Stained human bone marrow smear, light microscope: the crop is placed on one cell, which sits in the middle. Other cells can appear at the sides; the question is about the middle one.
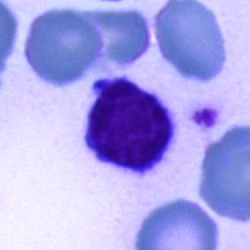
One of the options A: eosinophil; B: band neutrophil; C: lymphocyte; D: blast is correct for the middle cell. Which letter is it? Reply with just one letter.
C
